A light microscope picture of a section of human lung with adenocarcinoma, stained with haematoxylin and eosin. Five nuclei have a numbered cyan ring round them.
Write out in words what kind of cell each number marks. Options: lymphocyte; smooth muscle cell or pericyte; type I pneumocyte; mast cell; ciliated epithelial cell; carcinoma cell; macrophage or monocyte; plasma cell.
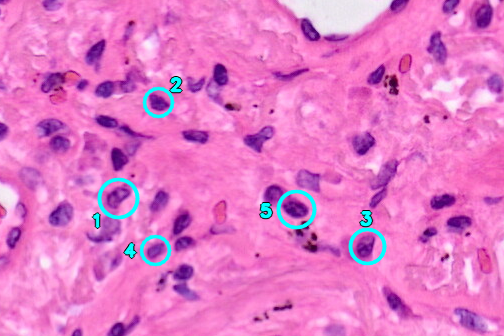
Cells 1, 3 and 5 are plasma cells. Cell 2 is a lymphocyte. Cell 4 is a mast cell.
